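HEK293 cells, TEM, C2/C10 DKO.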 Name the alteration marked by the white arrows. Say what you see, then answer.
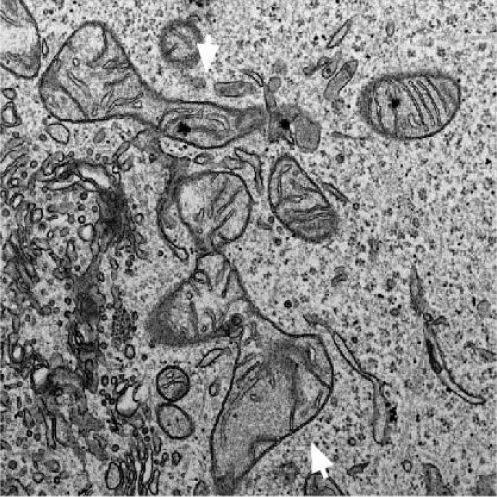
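These organelles contain only a few irregular cristae. The answer: abnormal mitochondria.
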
